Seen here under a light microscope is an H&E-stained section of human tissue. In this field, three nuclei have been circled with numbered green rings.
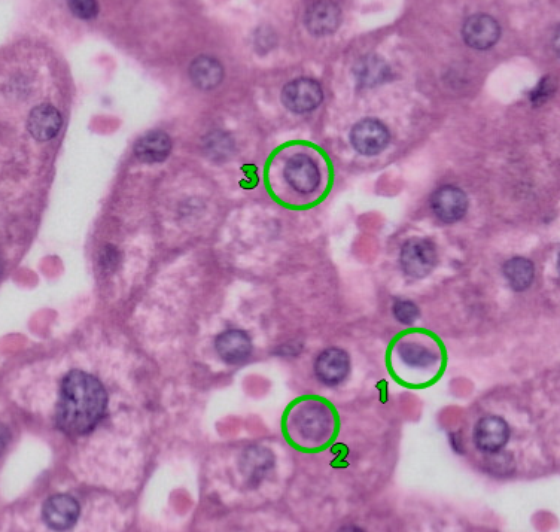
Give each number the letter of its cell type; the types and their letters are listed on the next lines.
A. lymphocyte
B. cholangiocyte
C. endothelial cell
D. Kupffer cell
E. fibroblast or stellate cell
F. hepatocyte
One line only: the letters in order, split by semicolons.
D; F; F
